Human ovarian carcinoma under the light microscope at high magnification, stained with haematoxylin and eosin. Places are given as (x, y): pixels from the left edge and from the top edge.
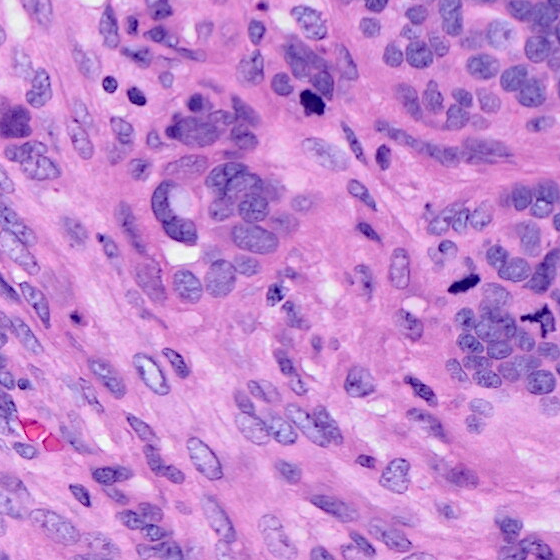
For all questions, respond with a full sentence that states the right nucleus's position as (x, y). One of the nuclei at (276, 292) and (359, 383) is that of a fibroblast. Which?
That would be the nucleus at (359, 383); it belongs to a fibroblast.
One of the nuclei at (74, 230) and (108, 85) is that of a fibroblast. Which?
Among the two nuclei, the one found at (74, 230) belongs to a fibroblast.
